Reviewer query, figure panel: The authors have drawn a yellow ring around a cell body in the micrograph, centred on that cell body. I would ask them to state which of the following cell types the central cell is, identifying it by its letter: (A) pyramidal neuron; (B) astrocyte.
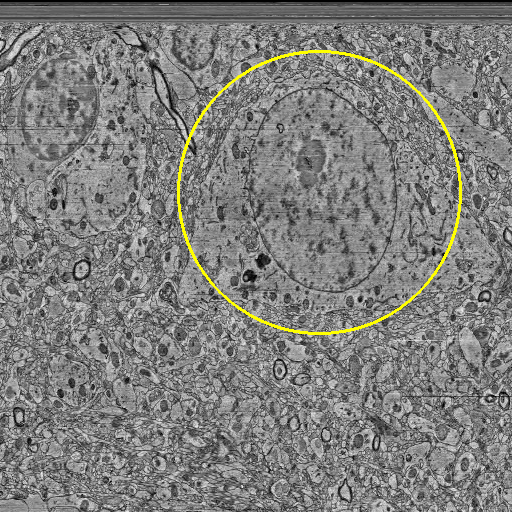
A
